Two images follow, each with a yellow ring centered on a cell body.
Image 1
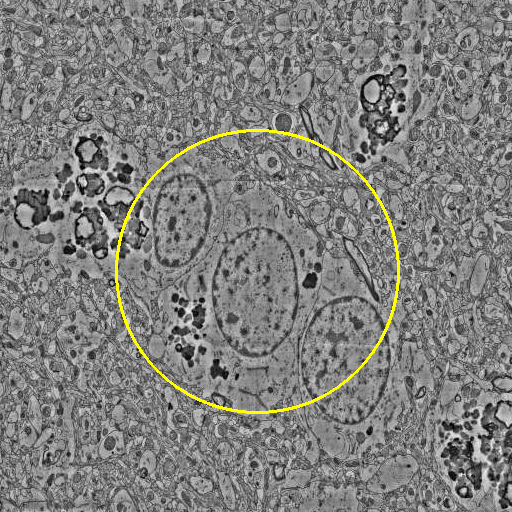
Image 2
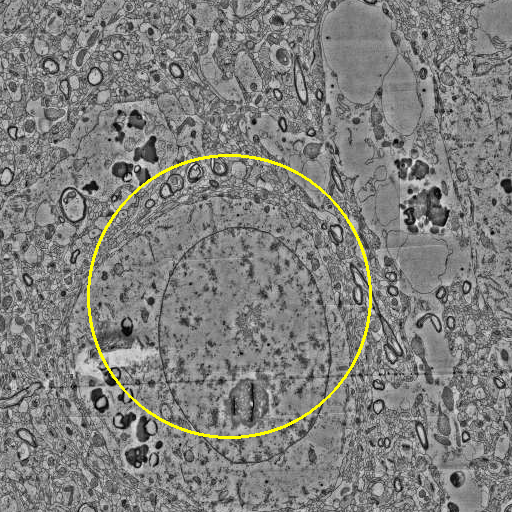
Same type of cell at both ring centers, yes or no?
no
